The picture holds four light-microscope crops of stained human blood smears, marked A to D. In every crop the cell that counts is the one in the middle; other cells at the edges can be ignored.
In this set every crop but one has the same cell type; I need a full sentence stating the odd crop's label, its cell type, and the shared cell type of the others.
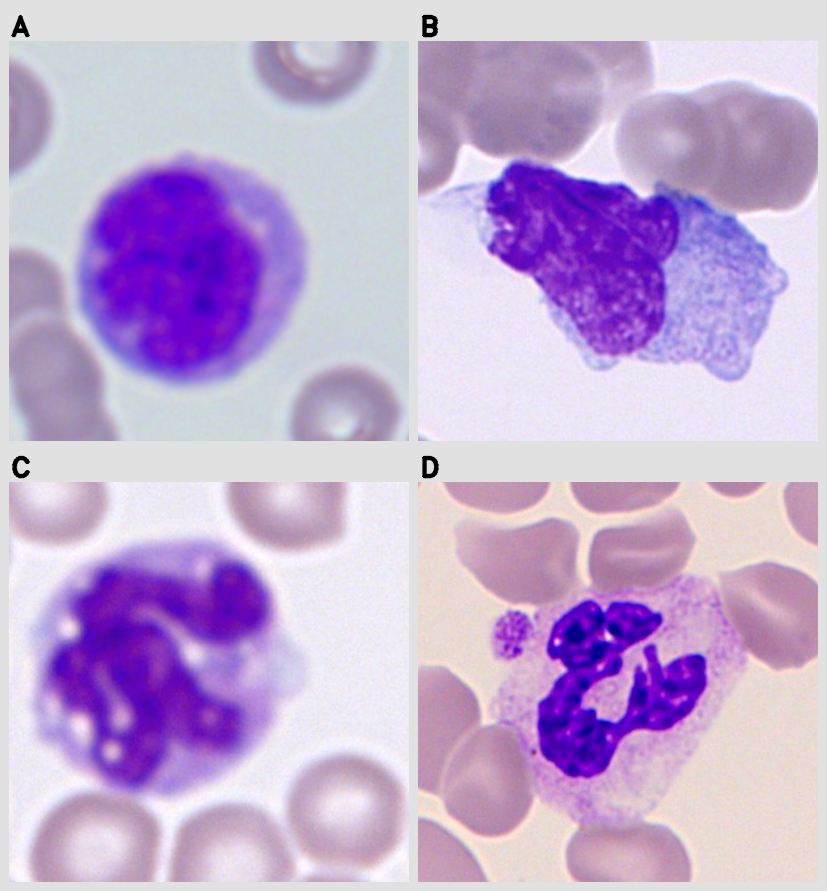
Whereas the other crops all show monocytes, crop D shows a segmented neutrophil.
